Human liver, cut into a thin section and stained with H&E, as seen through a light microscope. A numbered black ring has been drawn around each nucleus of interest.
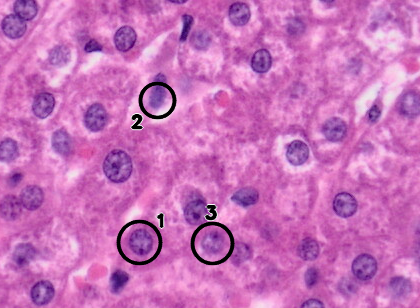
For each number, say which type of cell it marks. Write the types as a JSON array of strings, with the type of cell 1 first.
["hepatocyte", "Kupffer cell", "hepatocyte"]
